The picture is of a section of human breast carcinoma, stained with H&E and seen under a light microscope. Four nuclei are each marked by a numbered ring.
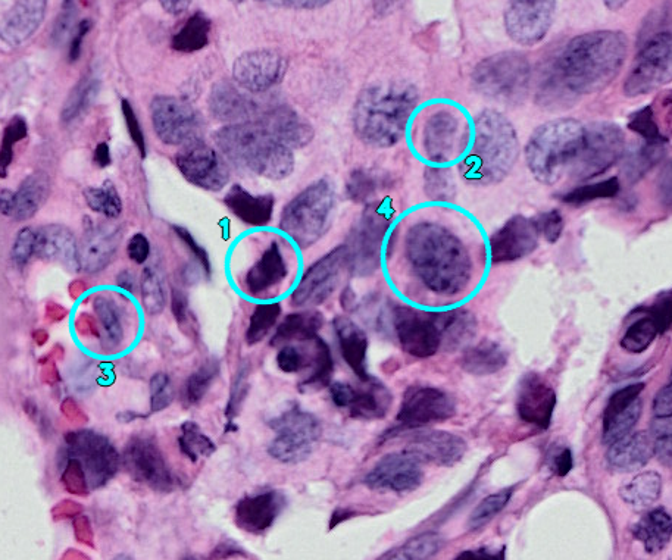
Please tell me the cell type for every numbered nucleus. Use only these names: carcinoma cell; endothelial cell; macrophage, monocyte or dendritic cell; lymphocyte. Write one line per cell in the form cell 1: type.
cell 1: carcinoma cell
cell 2: carcinoma cell
cell 3: endothelial cell
cell 4: carcinoma cell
